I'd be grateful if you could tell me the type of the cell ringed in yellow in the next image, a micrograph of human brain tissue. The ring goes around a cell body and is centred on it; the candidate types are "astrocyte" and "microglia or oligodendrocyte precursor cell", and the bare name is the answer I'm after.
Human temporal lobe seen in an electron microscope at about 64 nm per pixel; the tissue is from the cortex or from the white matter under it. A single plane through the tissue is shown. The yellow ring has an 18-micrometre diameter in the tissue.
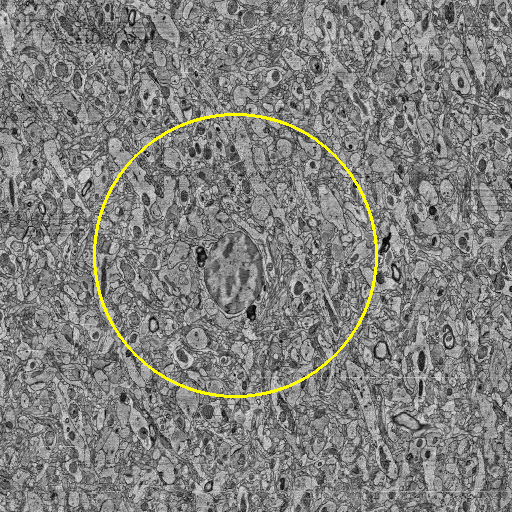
microglia or oligodendrocyte precursor cell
